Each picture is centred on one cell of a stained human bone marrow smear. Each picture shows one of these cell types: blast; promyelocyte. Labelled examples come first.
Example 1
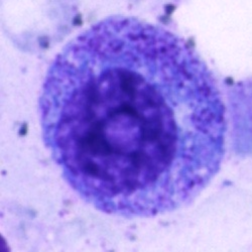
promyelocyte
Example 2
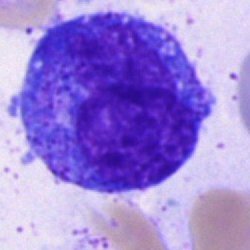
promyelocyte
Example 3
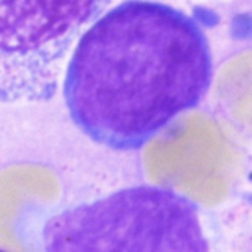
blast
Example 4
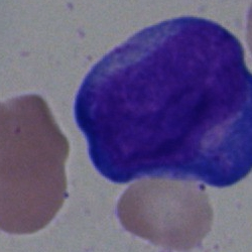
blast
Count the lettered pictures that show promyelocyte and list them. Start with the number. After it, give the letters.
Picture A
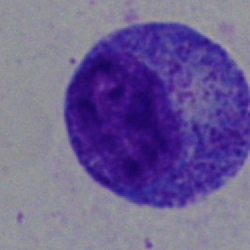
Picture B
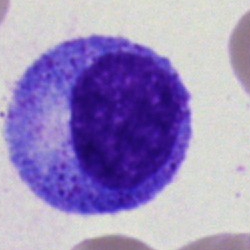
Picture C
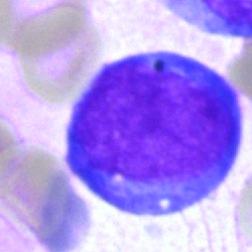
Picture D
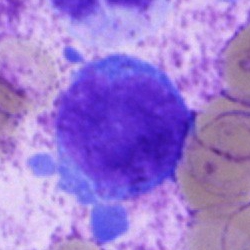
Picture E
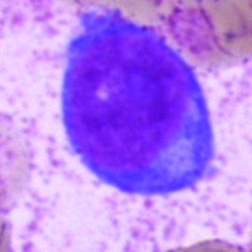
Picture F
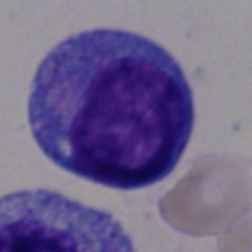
Count: 2 (A, B)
